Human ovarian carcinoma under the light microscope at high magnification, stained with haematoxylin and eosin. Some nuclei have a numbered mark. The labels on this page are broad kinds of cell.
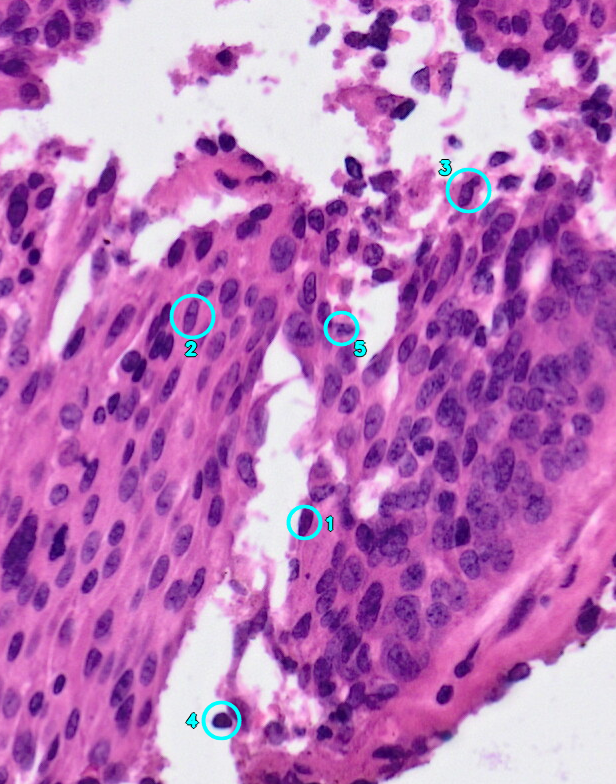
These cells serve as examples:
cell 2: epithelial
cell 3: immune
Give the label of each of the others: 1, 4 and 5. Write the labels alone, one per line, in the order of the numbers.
epithelial
epithelial
immune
